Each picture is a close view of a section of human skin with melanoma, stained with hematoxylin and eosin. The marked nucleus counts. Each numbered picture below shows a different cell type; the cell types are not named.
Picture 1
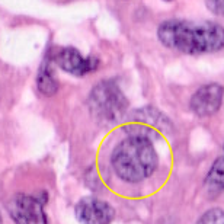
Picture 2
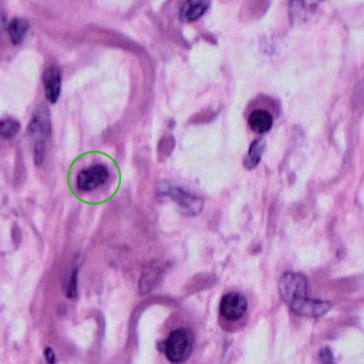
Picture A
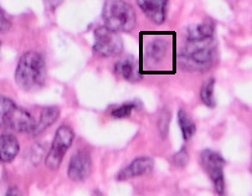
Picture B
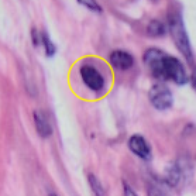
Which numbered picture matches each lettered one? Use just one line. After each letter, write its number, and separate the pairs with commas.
A 1, B 2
